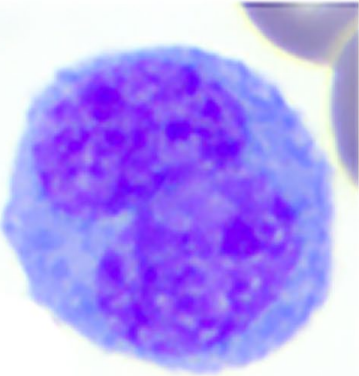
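The cell is large and rounded, with a broad rim of pale blue, finely granular cytoplasm. The purple nucleus is divided by a groove into two lobes, one above the other. The chromatin has a lacy, mottled pattern of darker clumps and lighter spaces. The cytoplasm is widest on the left side of the nucleus.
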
